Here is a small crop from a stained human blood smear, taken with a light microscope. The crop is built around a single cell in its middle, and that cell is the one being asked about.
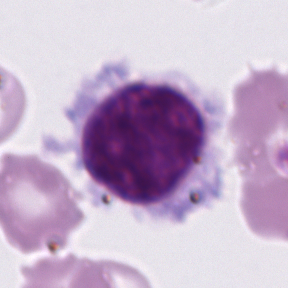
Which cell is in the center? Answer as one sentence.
The cell of interest, located centrally, is a hairy cell.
